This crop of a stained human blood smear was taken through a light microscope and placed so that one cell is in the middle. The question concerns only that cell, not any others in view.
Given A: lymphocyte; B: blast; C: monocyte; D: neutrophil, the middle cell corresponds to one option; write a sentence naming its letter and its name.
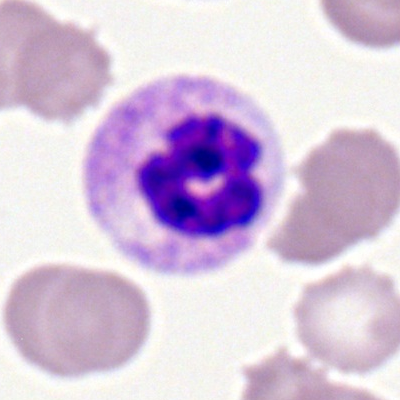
Located in the middle of the crop is a neutrophil, and option D is therefore correct.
